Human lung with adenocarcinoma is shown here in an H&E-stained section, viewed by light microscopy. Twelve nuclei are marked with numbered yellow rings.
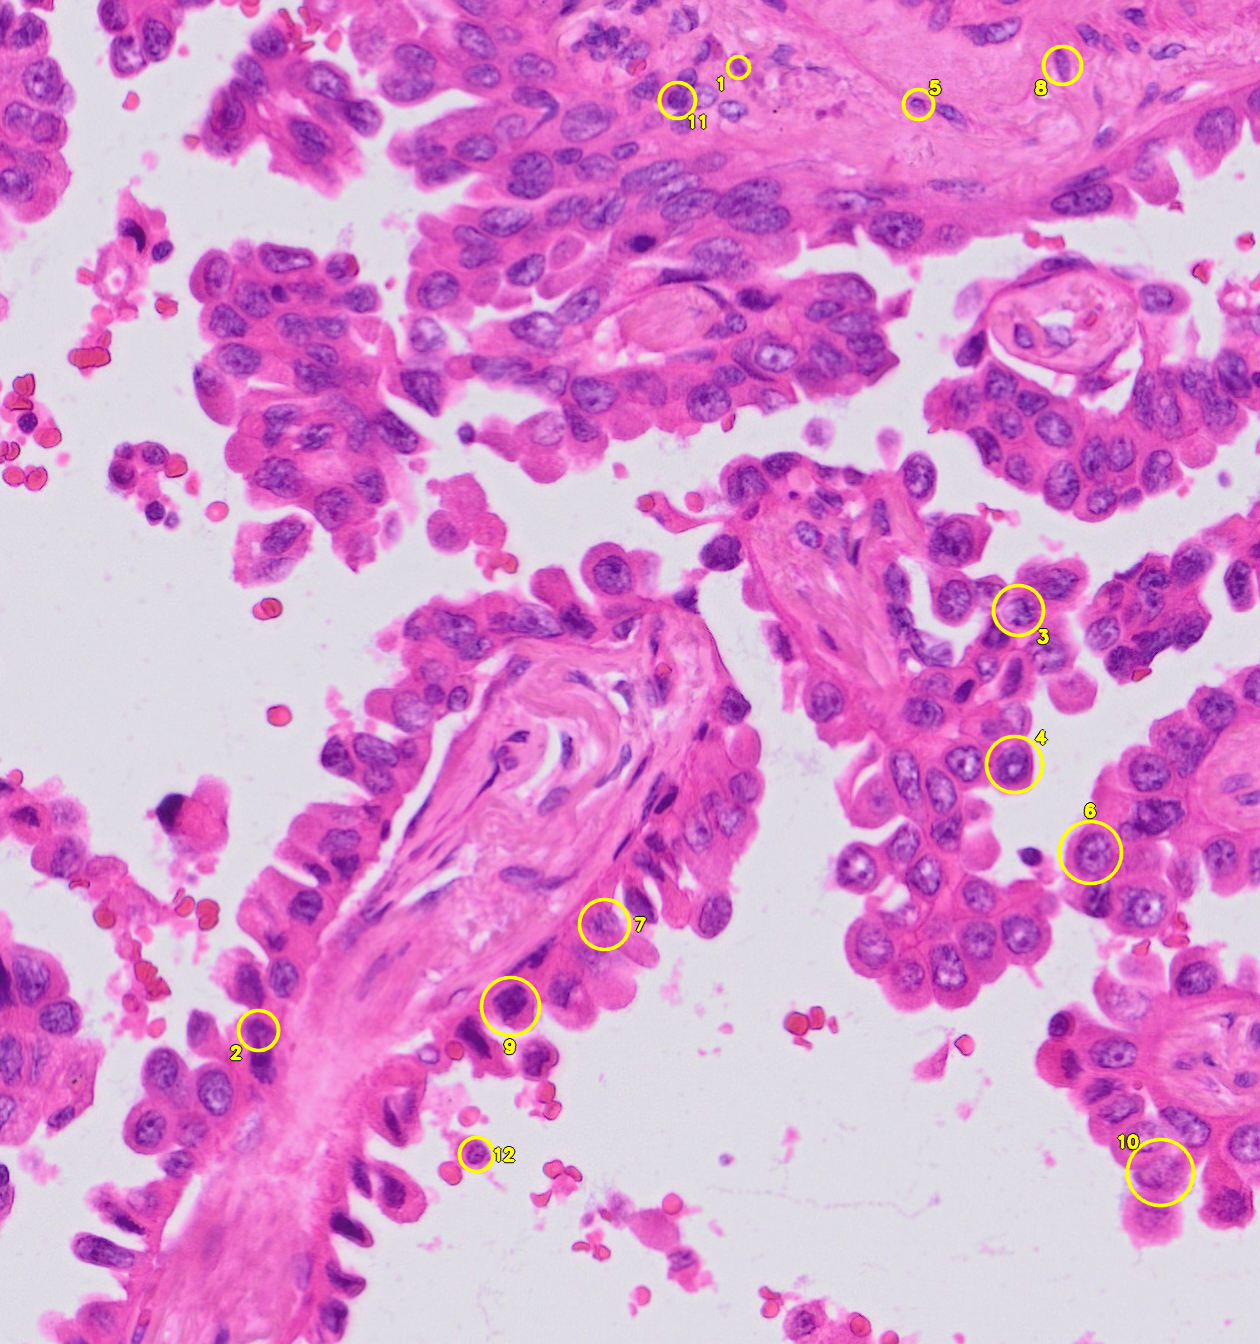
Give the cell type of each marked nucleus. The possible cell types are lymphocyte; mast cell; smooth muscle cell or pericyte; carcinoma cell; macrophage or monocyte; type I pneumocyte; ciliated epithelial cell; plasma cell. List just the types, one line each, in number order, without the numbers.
plasma cell
carcinoma cell
carcinoma cell
carcinoma cell
smooth muscle cell or pericyte
carcinoma cell
carcinoma cell
smooth muscle cell or pericyte
carcinoma cell
carcinoma cell
plasma cell
macrophage or monocyte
